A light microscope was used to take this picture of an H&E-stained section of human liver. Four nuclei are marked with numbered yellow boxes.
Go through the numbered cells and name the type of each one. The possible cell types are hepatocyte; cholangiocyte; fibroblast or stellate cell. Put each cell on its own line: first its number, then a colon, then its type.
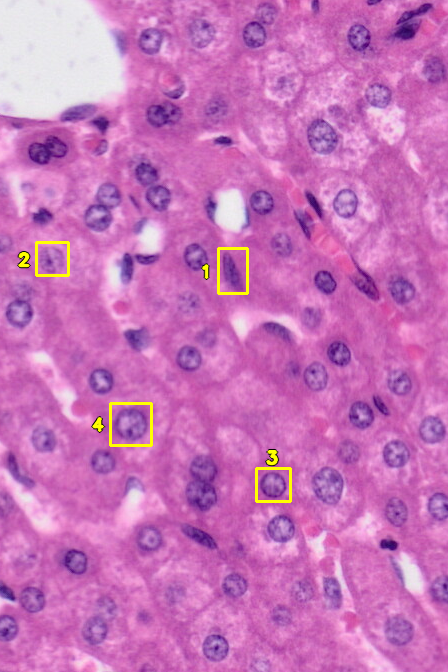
1: fibroblast or stellate cell
2: hepatocyte
3: hepatocyte
4: hepatocyte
